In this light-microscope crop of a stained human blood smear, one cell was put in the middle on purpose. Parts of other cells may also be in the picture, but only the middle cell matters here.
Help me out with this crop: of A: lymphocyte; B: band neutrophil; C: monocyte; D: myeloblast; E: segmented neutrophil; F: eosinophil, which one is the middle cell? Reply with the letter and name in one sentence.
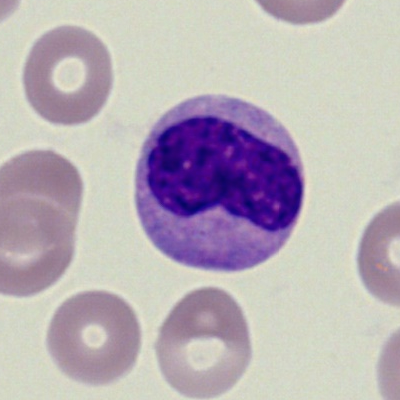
That middle cell is a band neutrophil, and option B is therefore correct.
